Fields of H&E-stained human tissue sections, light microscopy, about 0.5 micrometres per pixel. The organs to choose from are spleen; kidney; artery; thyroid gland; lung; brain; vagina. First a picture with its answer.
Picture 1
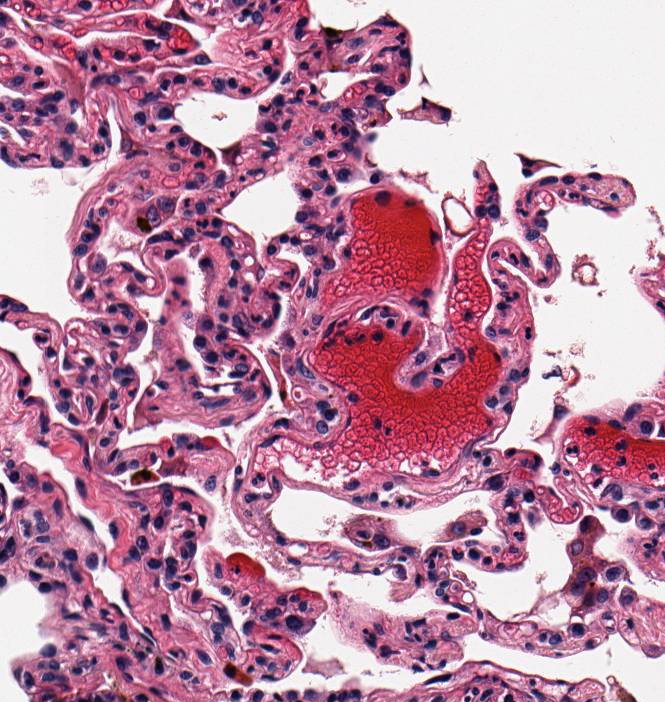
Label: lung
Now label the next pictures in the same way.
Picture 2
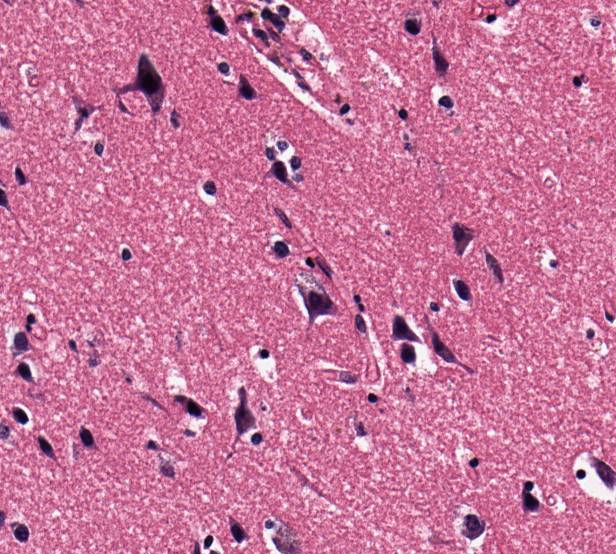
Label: brain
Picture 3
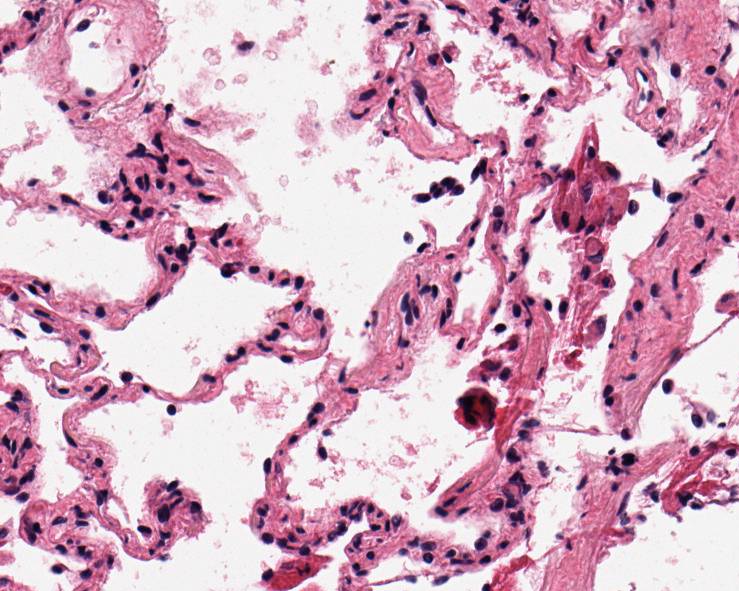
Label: lung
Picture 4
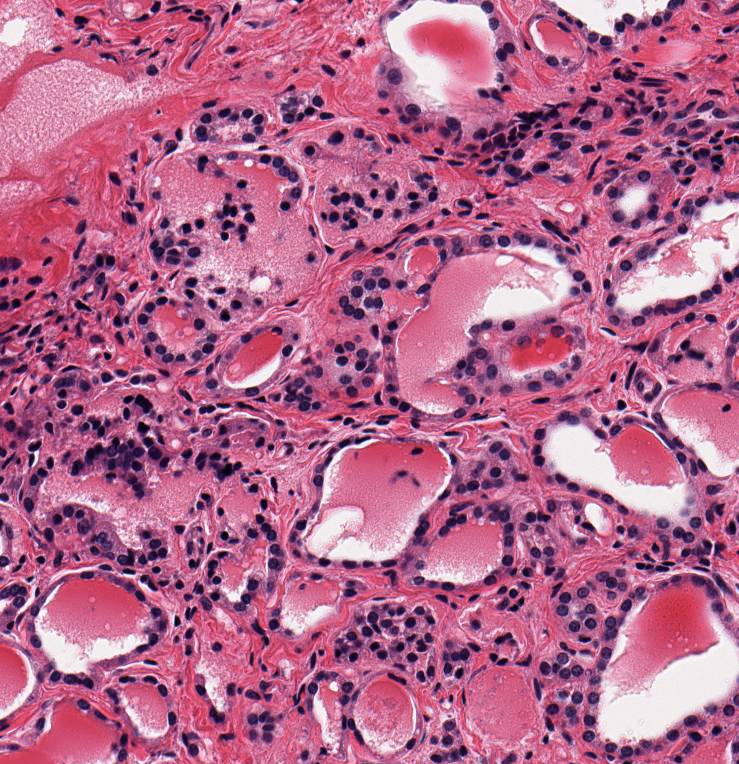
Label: thyroid gland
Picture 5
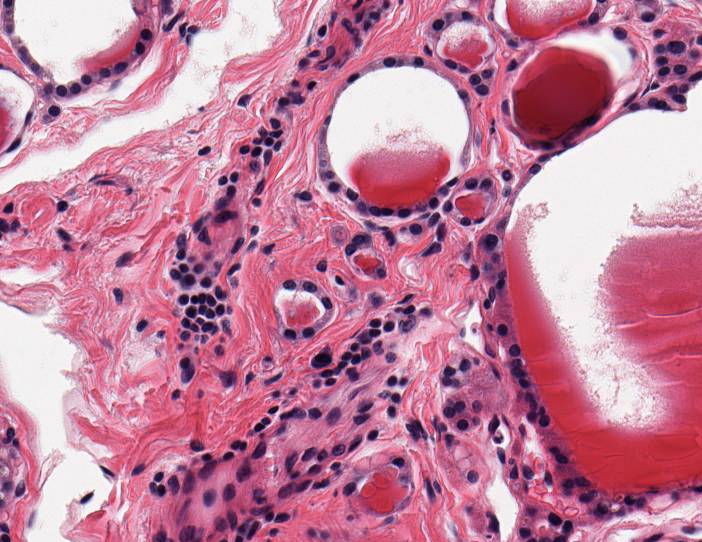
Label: thyroid gland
